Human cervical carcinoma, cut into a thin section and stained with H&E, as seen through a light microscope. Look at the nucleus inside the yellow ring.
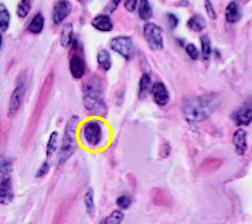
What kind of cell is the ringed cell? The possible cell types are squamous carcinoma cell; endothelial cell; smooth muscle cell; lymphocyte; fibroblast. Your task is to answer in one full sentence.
Microscopically, the ringed cell is categorized as a lymphocyte.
